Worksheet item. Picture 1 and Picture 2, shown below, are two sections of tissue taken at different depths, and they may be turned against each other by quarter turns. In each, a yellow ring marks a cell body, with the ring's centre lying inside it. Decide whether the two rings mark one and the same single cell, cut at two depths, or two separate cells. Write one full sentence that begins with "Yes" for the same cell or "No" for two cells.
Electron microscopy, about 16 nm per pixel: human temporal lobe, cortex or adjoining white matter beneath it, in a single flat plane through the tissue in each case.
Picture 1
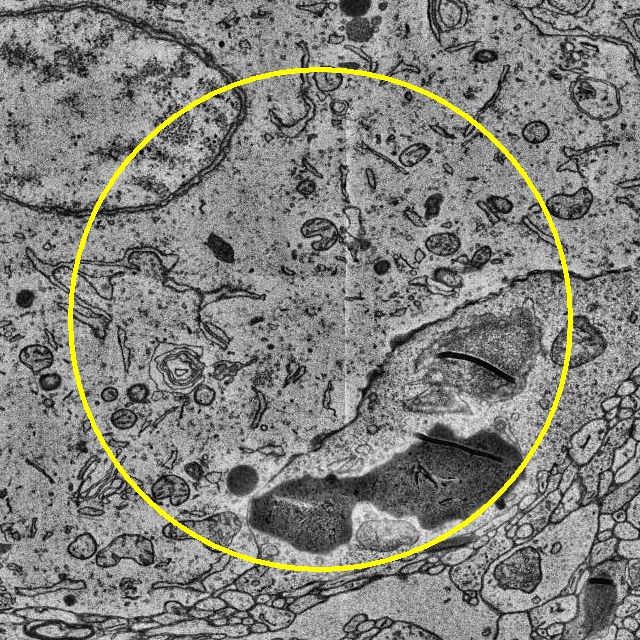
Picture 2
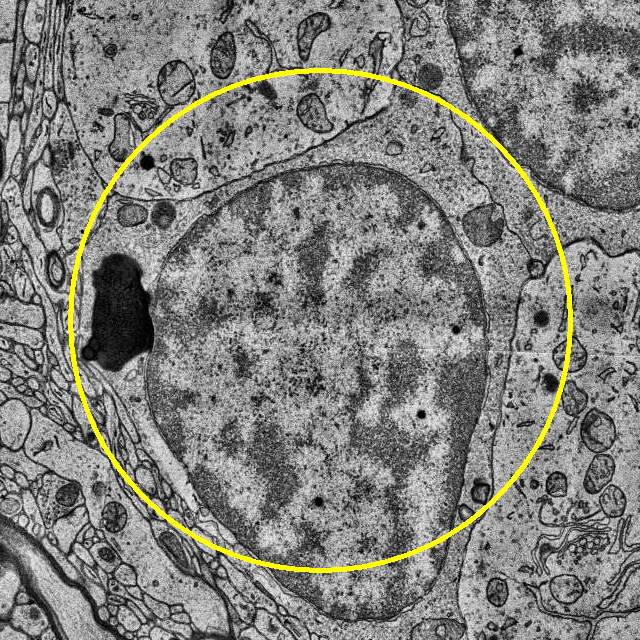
Yes, both yellow rings were placed on the same cell.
